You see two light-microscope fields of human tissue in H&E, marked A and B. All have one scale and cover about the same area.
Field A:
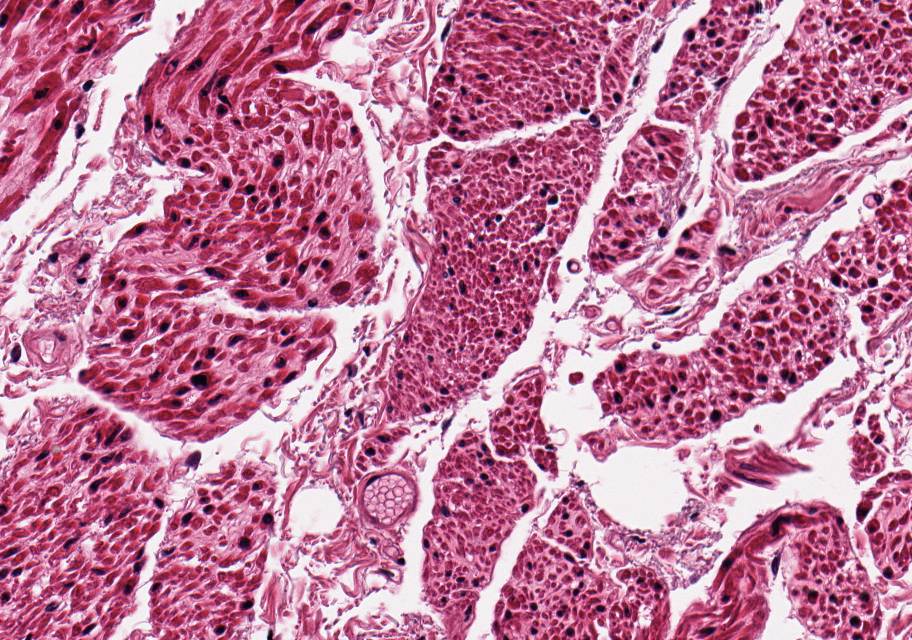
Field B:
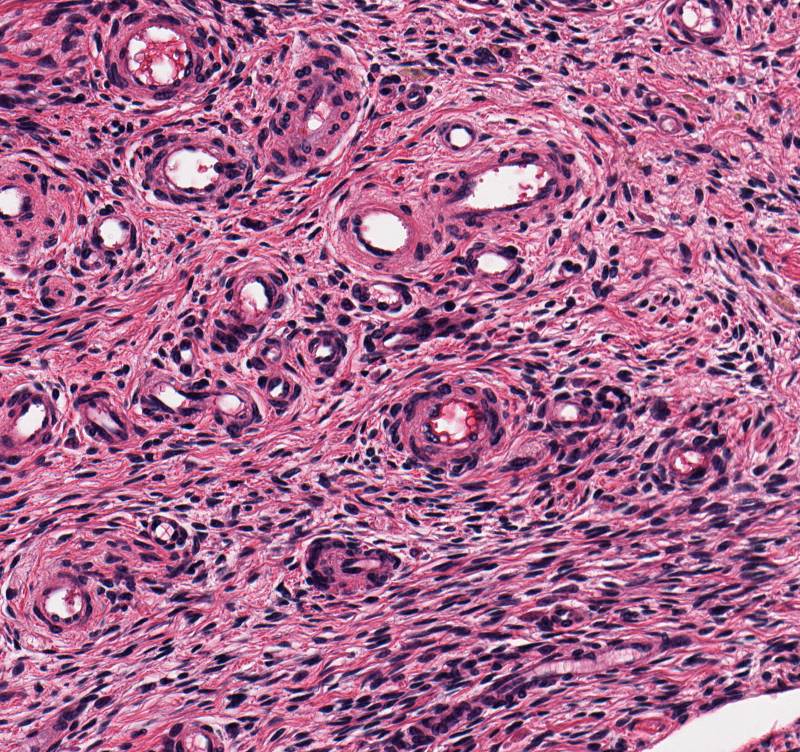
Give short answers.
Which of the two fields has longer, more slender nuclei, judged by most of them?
B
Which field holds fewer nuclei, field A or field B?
A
